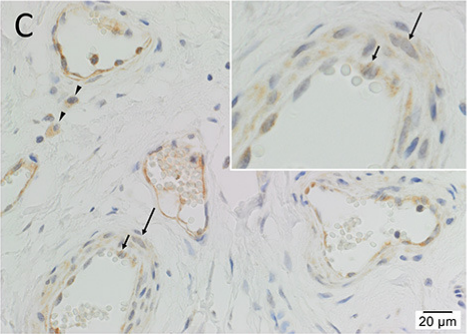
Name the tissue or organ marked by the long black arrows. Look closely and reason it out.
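The long arrow points to an elongated nucleus within the thick concentric vessel wall. It lies outside the cells lining the lumen.
Media.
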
